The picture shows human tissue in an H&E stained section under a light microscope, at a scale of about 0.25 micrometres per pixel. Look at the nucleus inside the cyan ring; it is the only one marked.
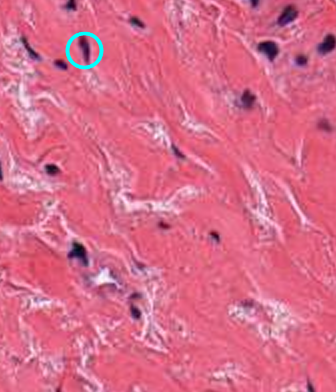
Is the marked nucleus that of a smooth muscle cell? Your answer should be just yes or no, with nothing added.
no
